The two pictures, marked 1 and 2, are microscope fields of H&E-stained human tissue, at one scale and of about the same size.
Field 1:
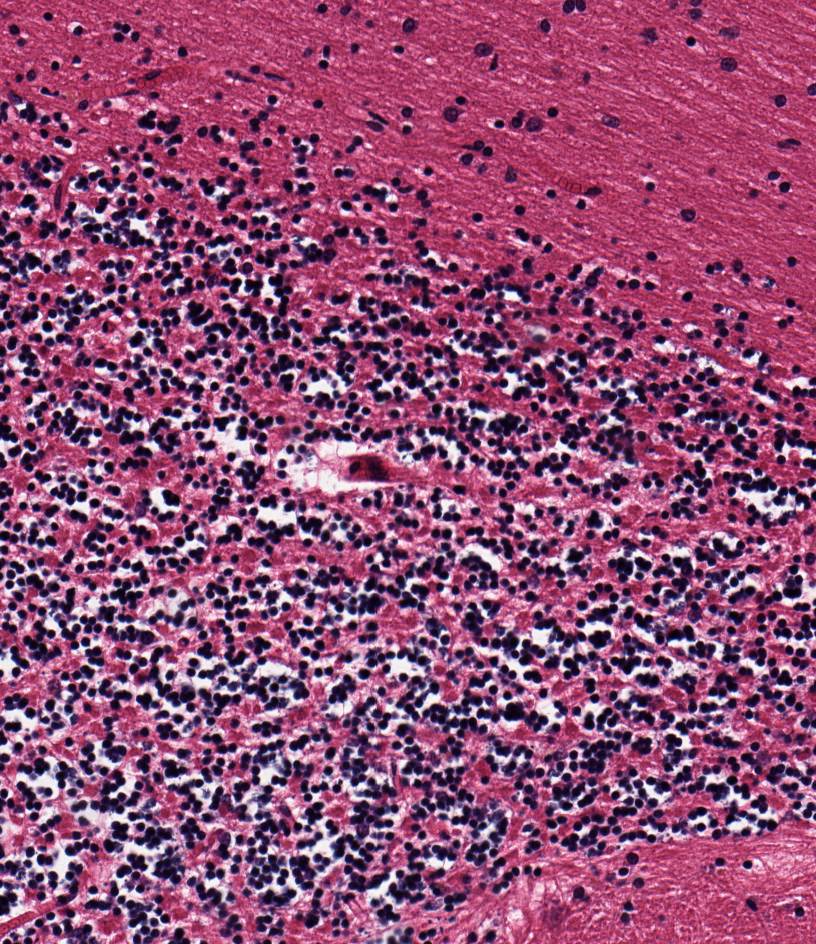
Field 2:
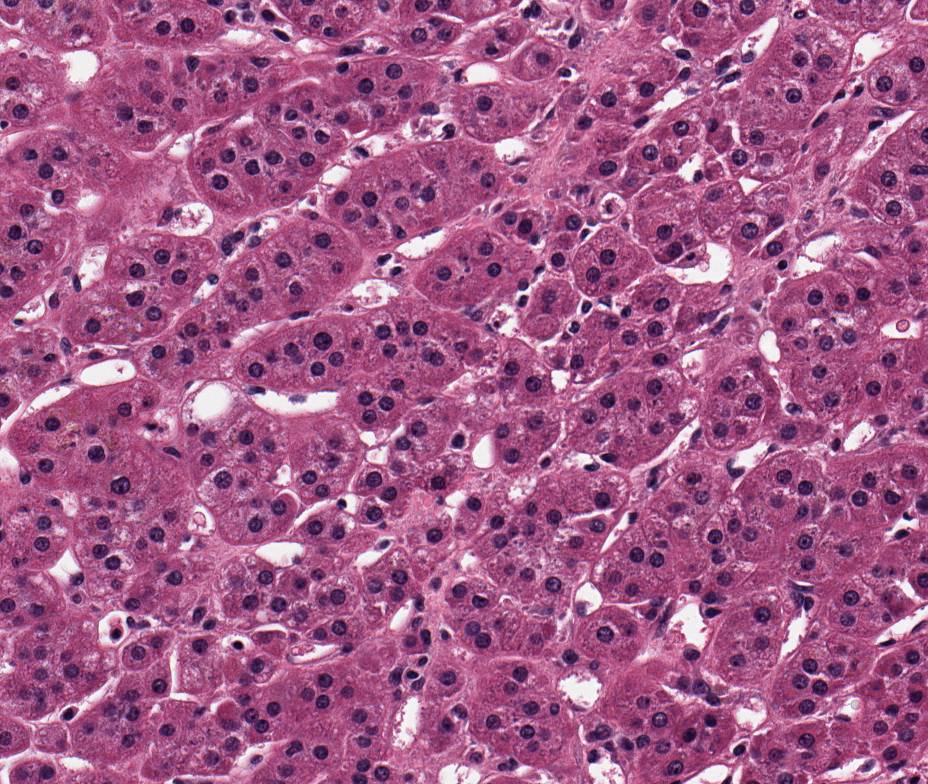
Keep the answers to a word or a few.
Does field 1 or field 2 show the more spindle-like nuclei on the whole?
1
